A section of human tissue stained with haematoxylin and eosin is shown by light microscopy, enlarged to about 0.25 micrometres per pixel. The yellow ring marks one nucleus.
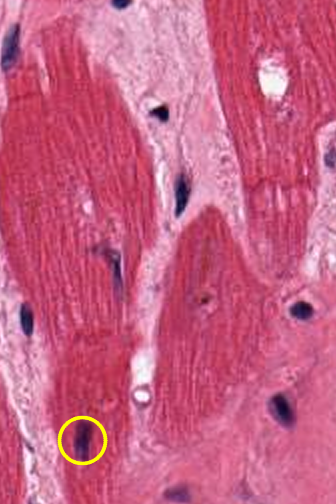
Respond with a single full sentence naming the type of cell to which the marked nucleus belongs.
The marked nucleus belongs to a cardiomyocyte.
